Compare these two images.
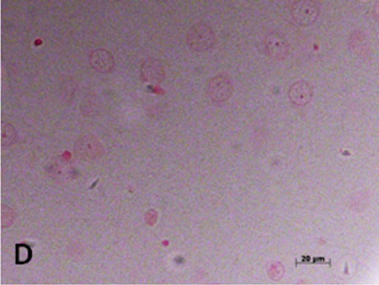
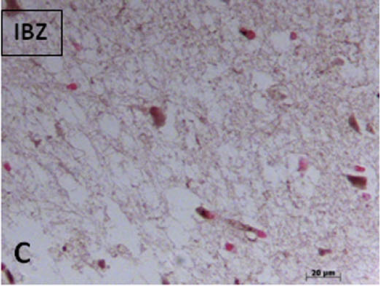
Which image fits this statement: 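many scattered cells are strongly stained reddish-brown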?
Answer: the second image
